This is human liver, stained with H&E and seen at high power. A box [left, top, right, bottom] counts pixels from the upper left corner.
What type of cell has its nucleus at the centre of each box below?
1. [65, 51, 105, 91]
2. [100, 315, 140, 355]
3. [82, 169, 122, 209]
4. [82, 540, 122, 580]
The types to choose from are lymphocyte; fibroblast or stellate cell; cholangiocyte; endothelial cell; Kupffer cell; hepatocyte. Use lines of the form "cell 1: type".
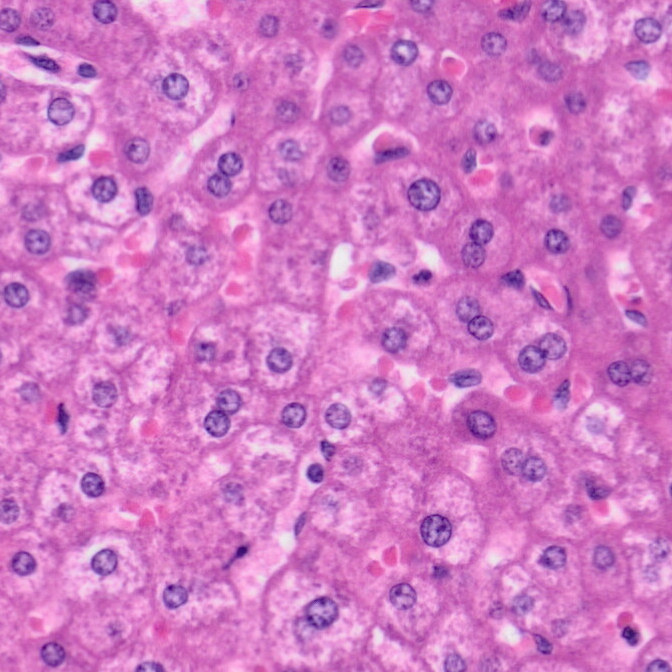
cell 1: lymphocyte
cell 2: hepatocyte
cell 3: hepatocyte
cell 4: hepatocyte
